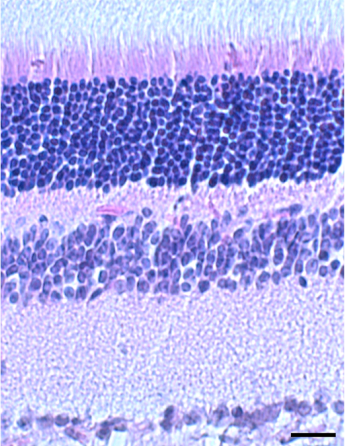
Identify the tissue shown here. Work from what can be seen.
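Stacked parallel layers alternate between bands of densely packed nuclei and pale, nucleus-poor bands. A thick band of small, dark, round nuclei lies beneath a pink striated layer at the top. A broad pale pink finely textured band separates a middle band of nuclei from a sparse row of cells at the bottom. On this evidence: retina.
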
